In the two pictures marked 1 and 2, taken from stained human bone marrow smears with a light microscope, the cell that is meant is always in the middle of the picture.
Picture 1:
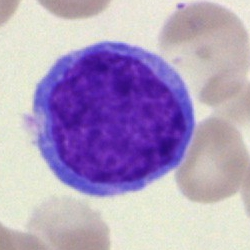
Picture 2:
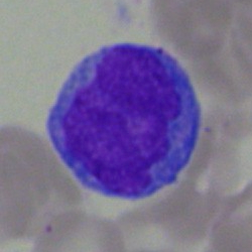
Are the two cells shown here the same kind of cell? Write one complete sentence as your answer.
Yes, both are blasts.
